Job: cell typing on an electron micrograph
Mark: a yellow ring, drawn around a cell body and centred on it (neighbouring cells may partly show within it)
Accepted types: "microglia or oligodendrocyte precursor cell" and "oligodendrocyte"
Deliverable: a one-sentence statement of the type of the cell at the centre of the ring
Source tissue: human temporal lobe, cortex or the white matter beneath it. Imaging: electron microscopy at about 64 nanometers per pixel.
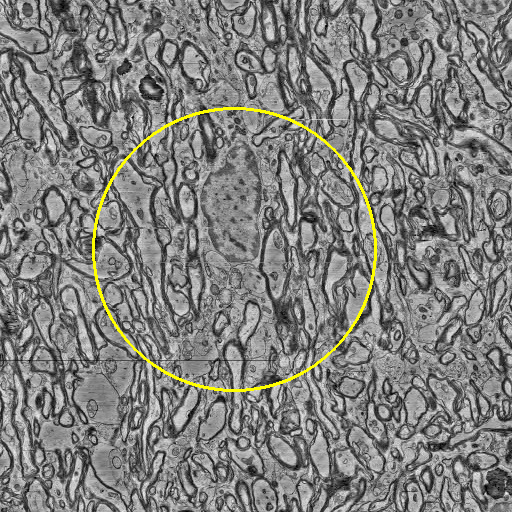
The centred cell body is that of a microglial cell or oligodendrocyte precursor cell.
